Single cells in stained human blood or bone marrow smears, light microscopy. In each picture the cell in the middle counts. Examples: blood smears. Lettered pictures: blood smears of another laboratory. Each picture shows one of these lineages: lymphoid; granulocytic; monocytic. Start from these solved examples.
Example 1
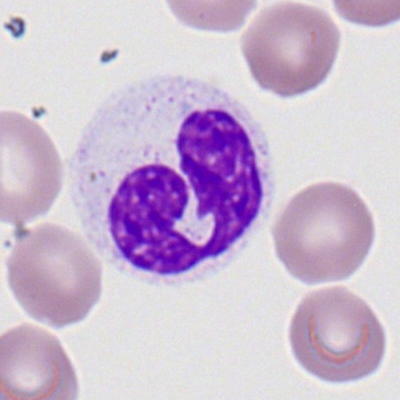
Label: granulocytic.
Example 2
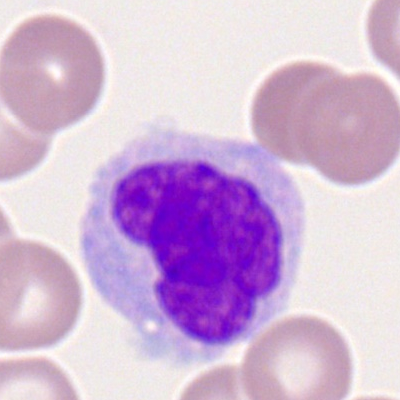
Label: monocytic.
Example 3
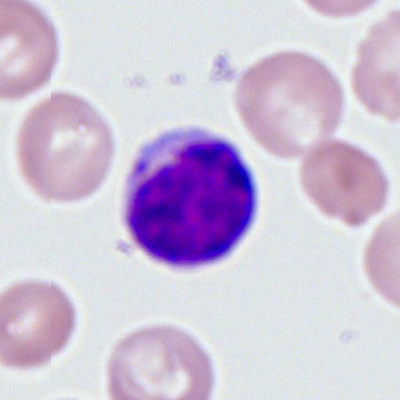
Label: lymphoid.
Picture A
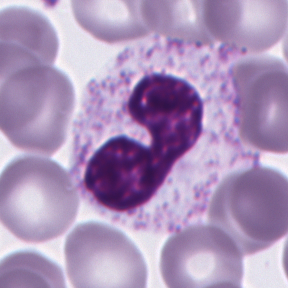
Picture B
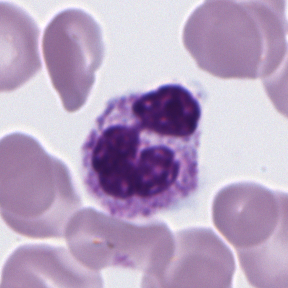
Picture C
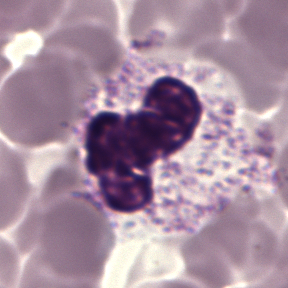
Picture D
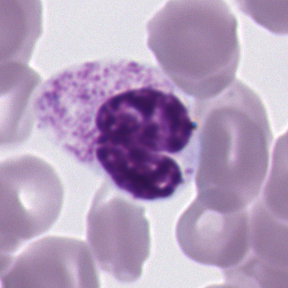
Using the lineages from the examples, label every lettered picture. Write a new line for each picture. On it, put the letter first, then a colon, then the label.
A: granulocytic.
B: granulocytic.
C: granulocytic.
D: granulocytic.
